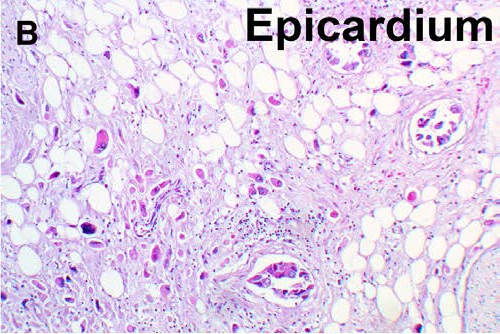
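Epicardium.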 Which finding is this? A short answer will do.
Neoplastic infiltration.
